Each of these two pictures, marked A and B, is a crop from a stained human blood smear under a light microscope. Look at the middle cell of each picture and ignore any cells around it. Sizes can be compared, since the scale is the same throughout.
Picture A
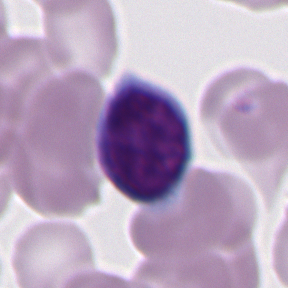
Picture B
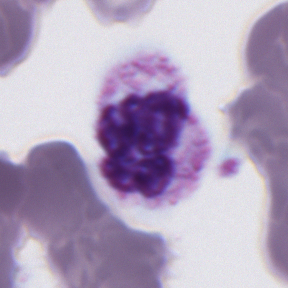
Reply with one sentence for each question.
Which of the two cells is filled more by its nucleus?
It is the cell in picture A that is filled more by its nucleus.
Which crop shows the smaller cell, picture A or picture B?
The cell in picture A is smaller; the one in picture B has about 1.5 times its area.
